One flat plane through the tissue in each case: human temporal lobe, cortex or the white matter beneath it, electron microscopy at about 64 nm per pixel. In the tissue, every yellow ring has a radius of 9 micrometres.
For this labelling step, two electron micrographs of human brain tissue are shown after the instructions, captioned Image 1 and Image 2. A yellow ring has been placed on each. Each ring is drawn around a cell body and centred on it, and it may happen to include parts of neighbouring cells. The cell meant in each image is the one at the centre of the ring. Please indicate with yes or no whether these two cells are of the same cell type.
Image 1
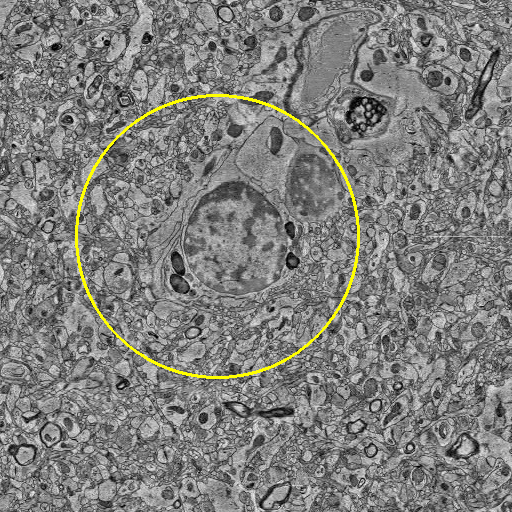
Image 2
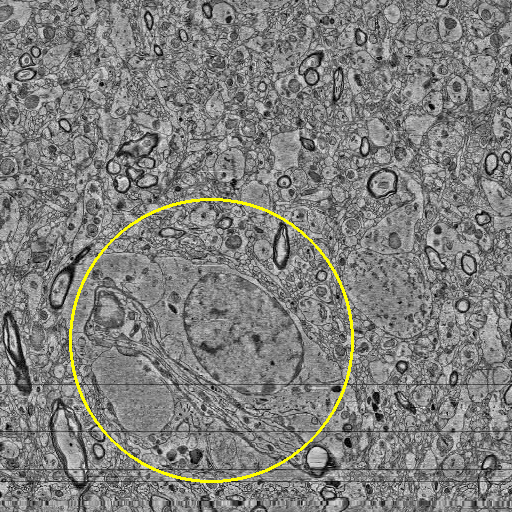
yes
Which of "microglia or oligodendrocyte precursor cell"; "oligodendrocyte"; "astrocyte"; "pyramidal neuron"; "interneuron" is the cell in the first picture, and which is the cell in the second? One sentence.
Each of the two pictures has a microglial cell or oligodendrocyte precursor cell at the ring centre.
